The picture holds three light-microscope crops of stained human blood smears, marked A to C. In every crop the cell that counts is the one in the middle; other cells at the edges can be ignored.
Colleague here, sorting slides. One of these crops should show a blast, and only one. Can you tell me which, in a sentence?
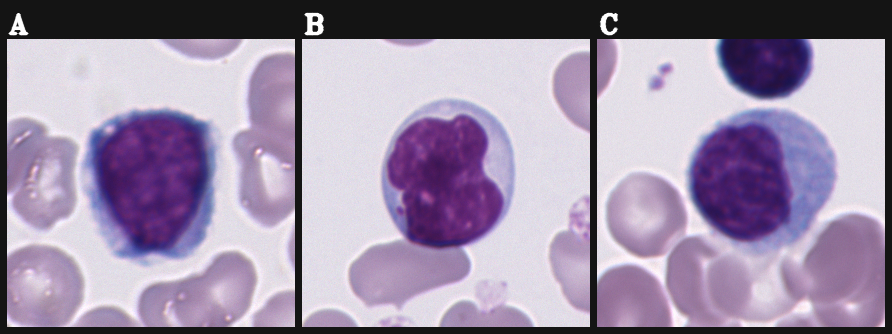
Of these crops, it is crop A that shows a blast.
